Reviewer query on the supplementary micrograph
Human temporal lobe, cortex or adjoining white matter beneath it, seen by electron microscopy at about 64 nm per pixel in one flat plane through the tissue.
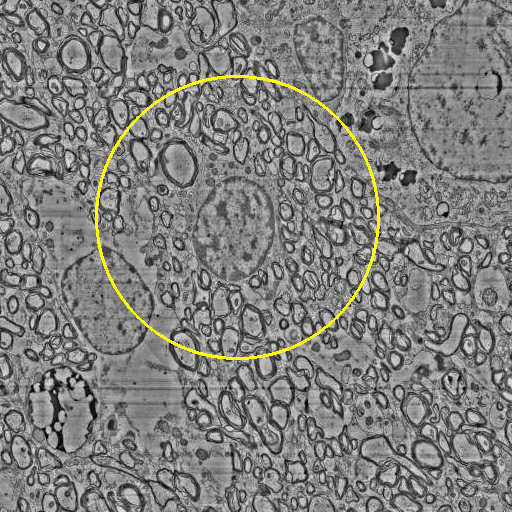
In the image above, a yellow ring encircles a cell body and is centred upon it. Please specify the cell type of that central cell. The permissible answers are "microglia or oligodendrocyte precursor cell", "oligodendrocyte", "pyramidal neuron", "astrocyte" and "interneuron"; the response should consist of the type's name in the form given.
oligodendrocyte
